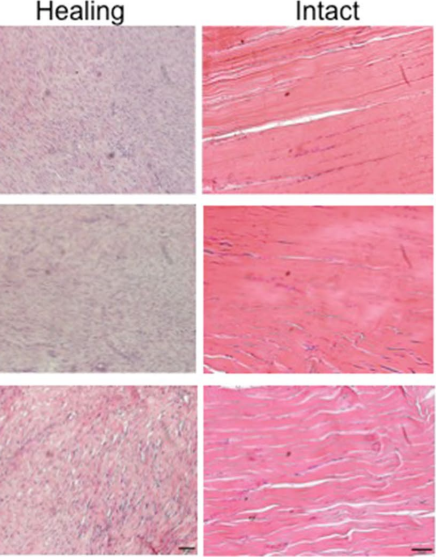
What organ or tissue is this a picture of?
Tendons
